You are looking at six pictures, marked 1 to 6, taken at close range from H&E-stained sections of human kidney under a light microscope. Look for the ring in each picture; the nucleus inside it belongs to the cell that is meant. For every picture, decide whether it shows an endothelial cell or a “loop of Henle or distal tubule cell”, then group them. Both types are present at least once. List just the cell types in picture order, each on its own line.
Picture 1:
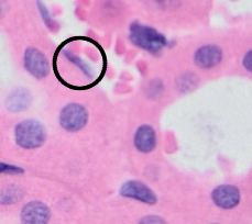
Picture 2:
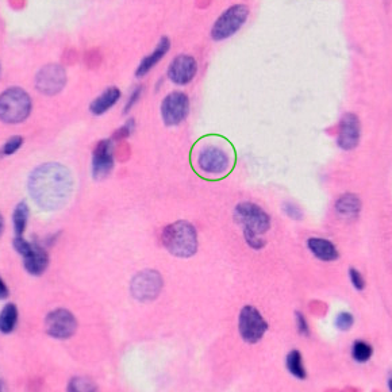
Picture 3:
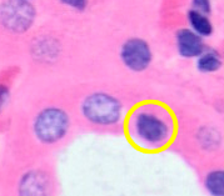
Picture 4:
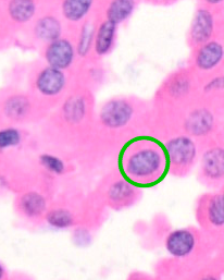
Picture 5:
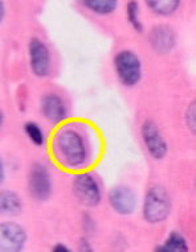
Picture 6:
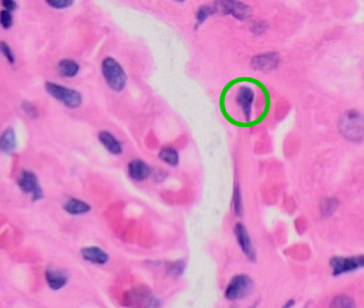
endothelial cell
loop of Henle or distal tubule cell
loop of Henle or distal tubule cell
loop of Henle or distal tubule cell
loop of Henle or distal tubule cell
endothelial cell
